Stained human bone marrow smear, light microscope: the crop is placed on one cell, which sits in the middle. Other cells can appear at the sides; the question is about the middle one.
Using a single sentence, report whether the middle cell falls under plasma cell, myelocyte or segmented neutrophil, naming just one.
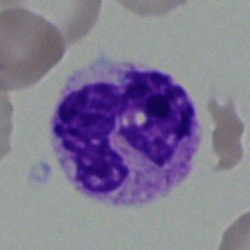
In the crop, the cell of interest at the centre is a segmented neutrophil.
